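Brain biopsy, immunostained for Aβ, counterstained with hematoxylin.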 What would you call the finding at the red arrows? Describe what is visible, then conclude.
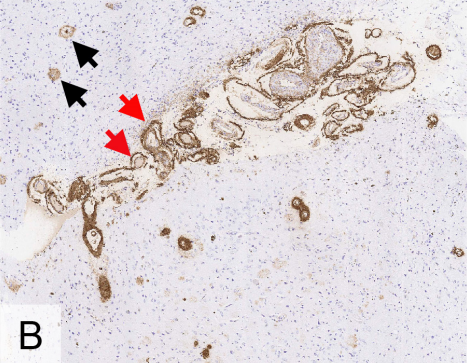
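The arrowed vessels in the meningeal space have brown-stained walls that appear as two separate concentric layers. Many neighbouring vessels show similar doubled brown walls.
Conclusion: vessel wall splitting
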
